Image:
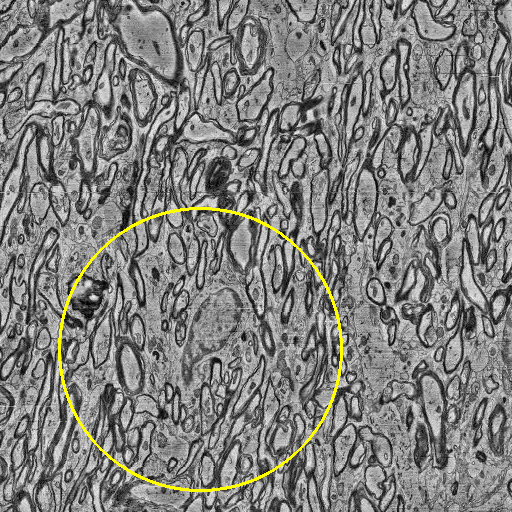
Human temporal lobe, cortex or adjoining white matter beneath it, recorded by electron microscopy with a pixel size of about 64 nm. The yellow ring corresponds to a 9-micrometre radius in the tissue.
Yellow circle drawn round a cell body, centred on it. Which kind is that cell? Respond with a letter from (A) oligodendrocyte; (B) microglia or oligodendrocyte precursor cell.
B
